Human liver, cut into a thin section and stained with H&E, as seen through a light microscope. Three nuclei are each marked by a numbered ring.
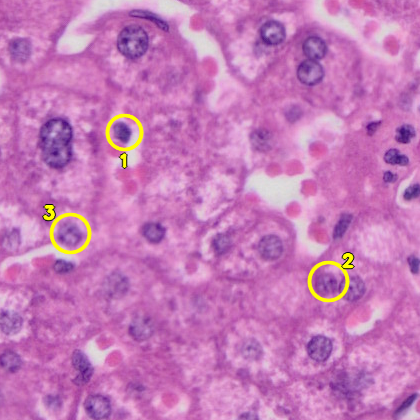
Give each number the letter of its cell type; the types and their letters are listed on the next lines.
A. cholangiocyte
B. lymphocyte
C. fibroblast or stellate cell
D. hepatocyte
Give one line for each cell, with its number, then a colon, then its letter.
1: B
2: D
3: D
